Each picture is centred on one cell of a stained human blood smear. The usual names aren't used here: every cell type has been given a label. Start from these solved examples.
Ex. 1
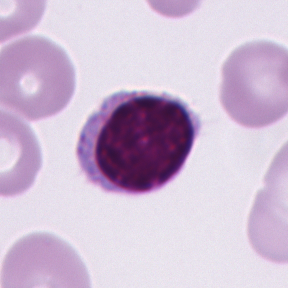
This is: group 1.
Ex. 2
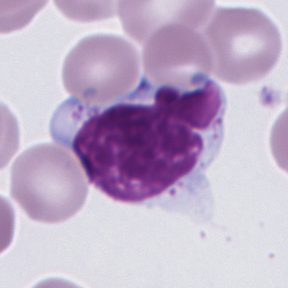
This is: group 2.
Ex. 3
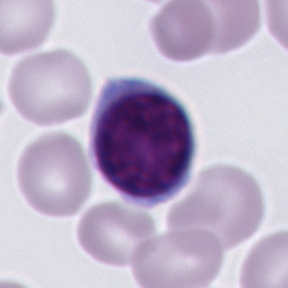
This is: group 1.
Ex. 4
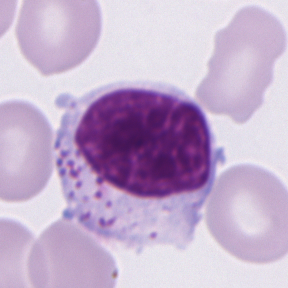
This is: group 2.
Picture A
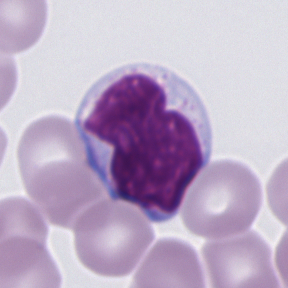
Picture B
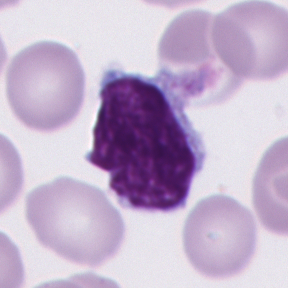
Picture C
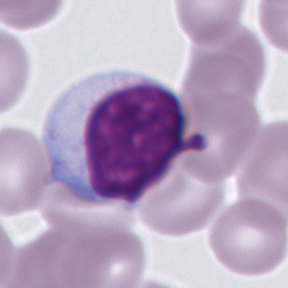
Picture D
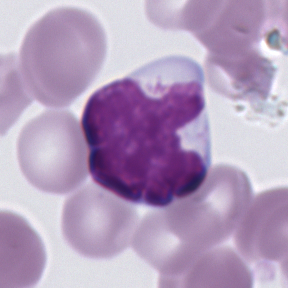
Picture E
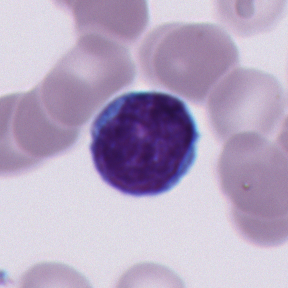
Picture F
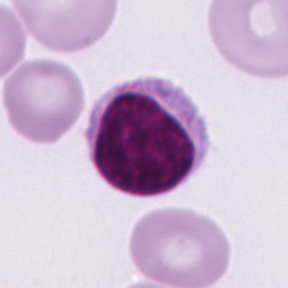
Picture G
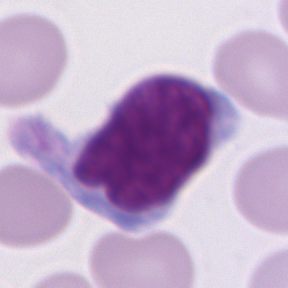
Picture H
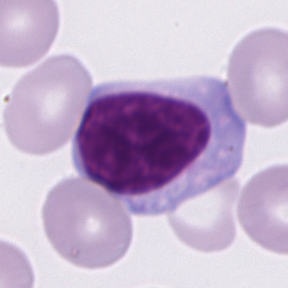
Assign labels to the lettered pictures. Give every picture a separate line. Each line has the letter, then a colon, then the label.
A: group 2.
B: group 1.
C: group 2.
D: group 2.
E: group 1.
F: group 2.
G: group 1.
H: group 1.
